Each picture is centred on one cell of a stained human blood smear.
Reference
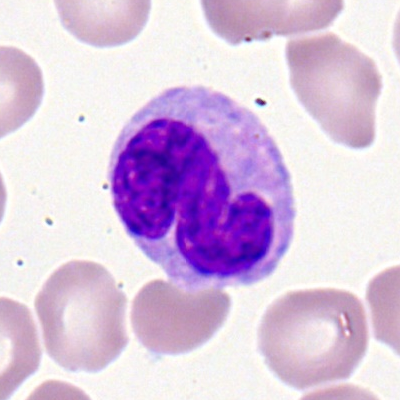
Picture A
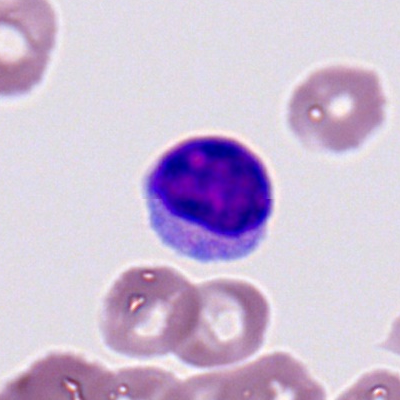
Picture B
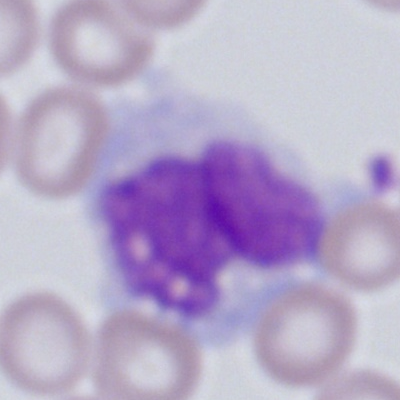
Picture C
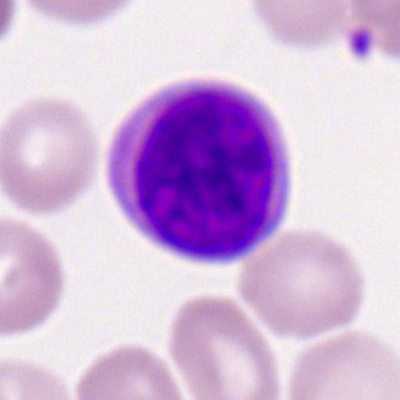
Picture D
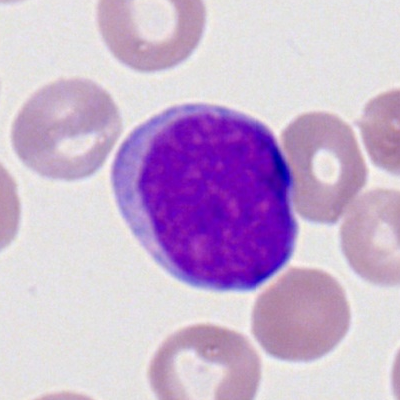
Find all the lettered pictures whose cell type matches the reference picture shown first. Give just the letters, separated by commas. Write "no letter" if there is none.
B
